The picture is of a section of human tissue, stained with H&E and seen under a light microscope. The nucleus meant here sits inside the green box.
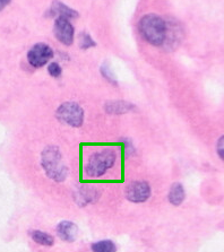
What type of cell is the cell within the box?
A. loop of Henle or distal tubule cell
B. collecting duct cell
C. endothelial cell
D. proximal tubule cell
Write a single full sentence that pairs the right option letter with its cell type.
Option A gives the correct identity of the cell within the box, which is a loop of Henle or distal tubule cell.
